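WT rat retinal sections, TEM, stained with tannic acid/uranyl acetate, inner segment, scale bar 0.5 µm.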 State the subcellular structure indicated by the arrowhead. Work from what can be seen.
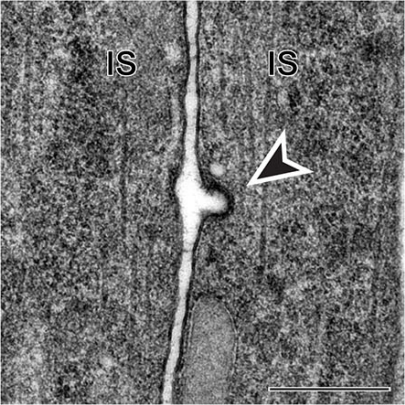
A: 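Clathrin-coated pits. A small dark-rimmed invagination of the membrane opening onto the pale extracellular space. No vesicle sits inside it.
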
